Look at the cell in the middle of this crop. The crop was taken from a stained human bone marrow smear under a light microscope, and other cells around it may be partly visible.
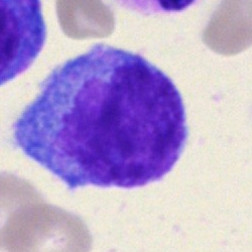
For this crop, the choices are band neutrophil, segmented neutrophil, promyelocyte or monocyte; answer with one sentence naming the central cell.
In the center of this field lies a monocyte.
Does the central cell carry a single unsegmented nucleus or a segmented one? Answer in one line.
If you check the nucleus, you will find one compact mass, round, oval or kidney-shaped.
